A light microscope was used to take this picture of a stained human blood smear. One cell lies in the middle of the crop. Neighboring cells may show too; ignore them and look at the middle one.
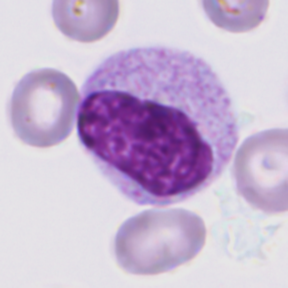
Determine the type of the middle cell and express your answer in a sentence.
Present in the middle of the crop is a metamyelocyte.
